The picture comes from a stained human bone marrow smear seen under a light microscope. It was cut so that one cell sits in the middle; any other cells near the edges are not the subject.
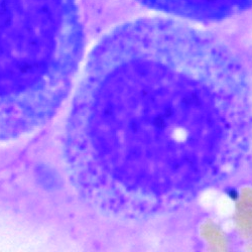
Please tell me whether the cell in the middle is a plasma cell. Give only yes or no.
no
